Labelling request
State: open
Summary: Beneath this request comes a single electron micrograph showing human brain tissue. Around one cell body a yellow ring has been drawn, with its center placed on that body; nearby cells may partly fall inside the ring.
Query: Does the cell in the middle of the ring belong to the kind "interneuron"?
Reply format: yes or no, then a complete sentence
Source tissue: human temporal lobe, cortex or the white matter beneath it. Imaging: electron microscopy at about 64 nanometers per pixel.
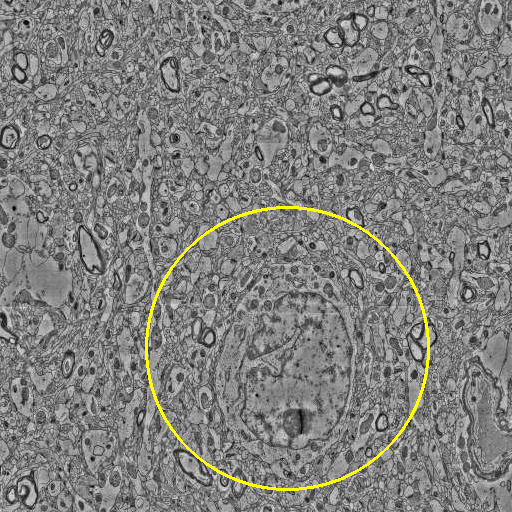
Yes, the cell sitting at the center of the ring in this picture is of that kind.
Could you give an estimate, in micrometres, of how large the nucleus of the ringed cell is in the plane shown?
The nucleus comes to roughly 10 by 7 micrometres in this plane.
